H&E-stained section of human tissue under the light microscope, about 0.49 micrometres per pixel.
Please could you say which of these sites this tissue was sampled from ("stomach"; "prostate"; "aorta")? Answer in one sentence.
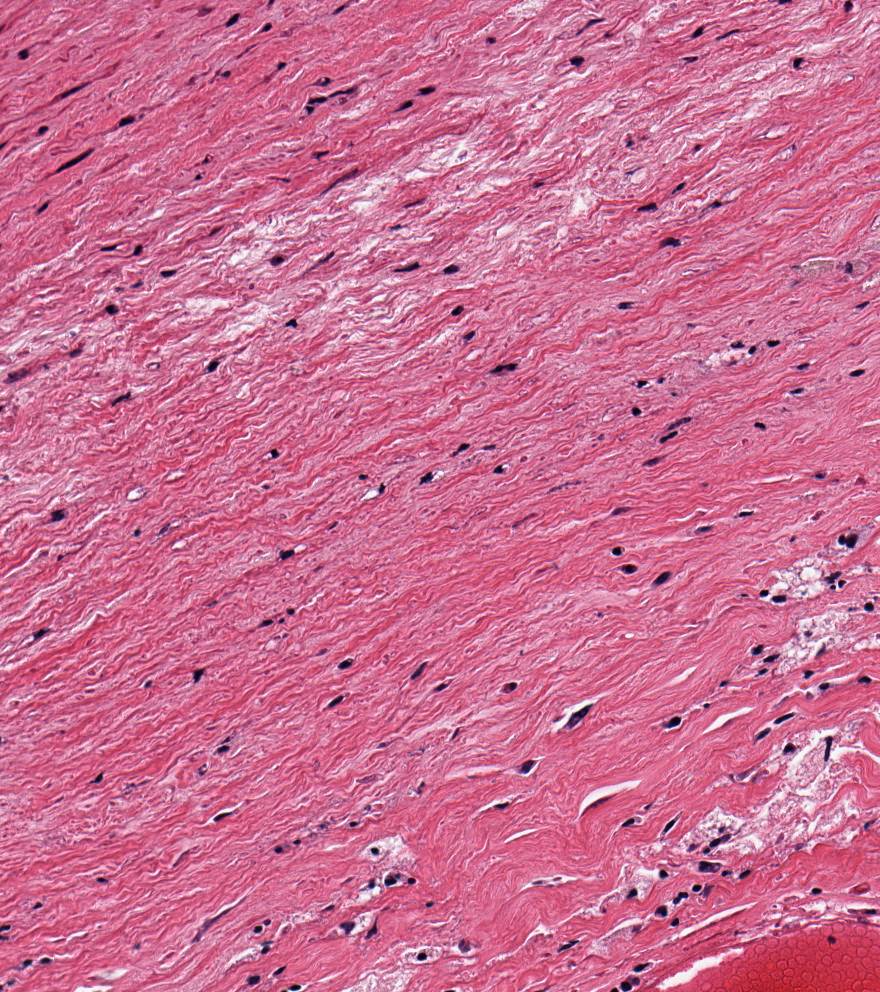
The site this tissue was sampled from is the aorta.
